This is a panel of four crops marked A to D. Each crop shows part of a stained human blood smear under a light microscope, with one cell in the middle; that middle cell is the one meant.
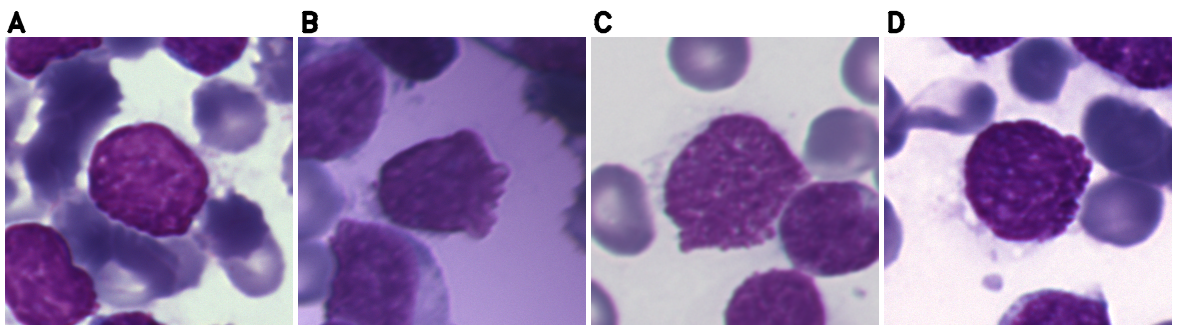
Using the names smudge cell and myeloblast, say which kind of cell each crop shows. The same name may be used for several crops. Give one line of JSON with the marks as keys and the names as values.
{"A": "smudge cell", "B": "smudge cell", "C": "smudge cell", "D": "myeloblast"}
